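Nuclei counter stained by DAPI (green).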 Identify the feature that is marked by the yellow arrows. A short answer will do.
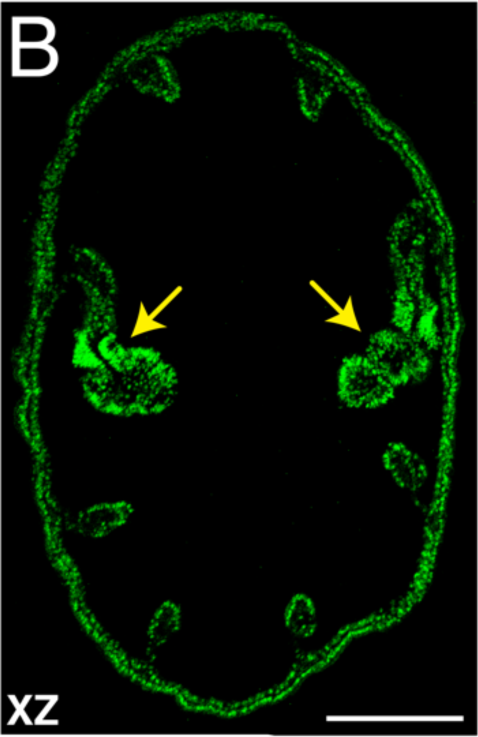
Enlarged primary mesenteries.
